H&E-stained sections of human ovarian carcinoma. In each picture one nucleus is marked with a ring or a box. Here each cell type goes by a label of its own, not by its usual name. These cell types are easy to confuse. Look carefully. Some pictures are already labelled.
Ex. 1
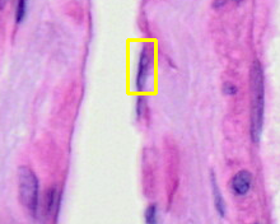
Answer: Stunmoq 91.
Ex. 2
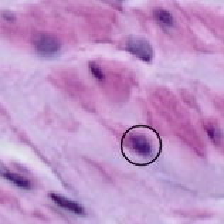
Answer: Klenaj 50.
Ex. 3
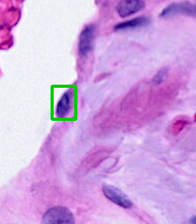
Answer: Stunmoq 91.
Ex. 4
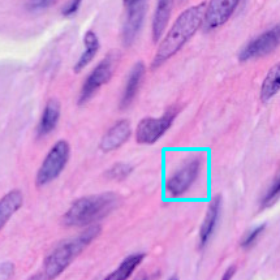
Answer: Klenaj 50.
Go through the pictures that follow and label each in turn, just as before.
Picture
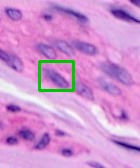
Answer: Klenaj 50.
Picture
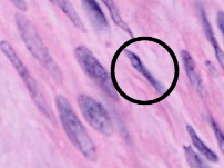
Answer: Klenaj 50.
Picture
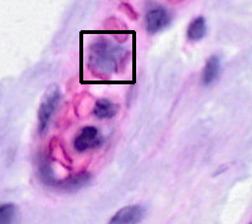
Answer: Stunmoq 91.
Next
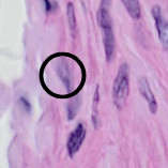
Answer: Klenaj 50.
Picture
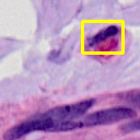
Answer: Stunmoq 91.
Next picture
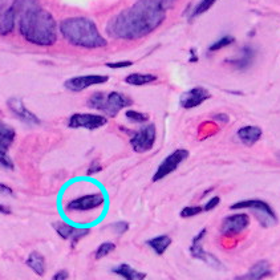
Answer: Klenaj 50.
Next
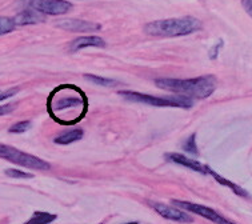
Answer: Klenaj 50.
